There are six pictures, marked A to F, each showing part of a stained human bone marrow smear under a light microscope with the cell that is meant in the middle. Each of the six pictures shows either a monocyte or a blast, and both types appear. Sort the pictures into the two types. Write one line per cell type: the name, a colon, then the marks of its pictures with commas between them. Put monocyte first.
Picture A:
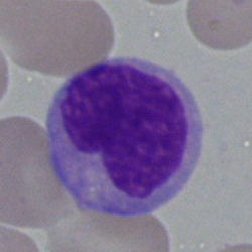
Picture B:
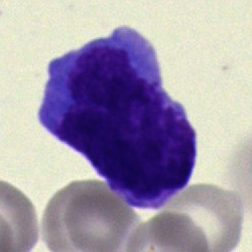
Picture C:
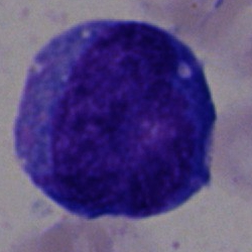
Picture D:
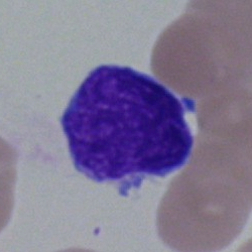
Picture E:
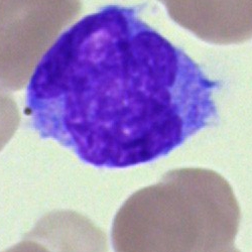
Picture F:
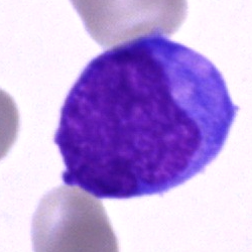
monocyte: A, E
blast: B, C, D, F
